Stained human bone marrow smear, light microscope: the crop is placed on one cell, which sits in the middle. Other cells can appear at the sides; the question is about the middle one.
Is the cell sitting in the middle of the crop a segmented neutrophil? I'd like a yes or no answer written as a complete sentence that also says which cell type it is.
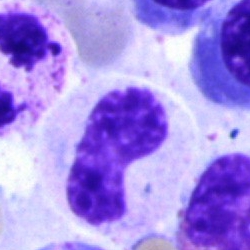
No, the label for the central cell is a band neutrophil, not a segmented neutrophil.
